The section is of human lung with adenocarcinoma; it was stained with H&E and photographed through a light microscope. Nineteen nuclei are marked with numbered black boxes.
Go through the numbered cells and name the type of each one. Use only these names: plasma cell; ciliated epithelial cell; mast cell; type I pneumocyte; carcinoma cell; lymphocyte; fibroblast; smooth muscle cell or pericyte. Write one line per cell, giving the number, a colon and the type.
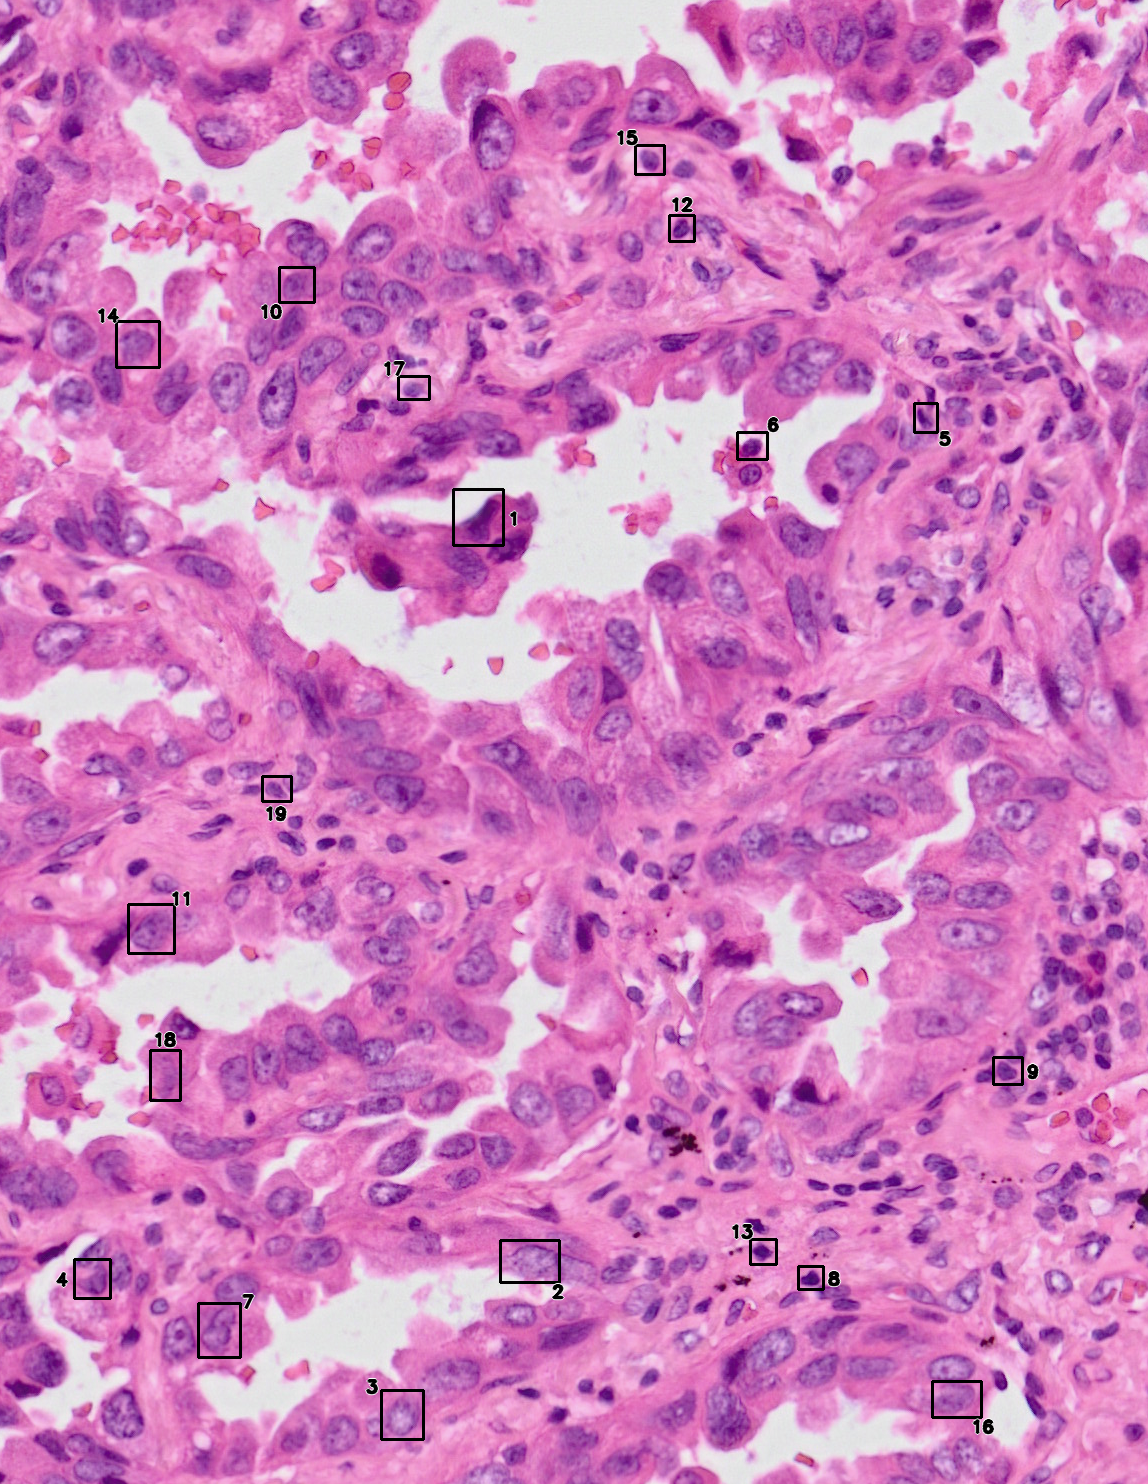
1: carcinoma cell
2: carcinoma cell
3: carcinoma cell
4: carcinoma cell
5: lymphocyte
6: lymphocyte
7: carcinoma cell
8: lymphocyte
9: lymphocyte
10: carcinoma cell
11: carcinoma cell
12: lymphocyte
13: lymphocyte
14: carcinoma cell
15: lymphocyte
16: carcinoma cell
17: lymphocyte
18: carcinoma cell
19: lymphocyte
